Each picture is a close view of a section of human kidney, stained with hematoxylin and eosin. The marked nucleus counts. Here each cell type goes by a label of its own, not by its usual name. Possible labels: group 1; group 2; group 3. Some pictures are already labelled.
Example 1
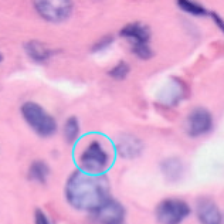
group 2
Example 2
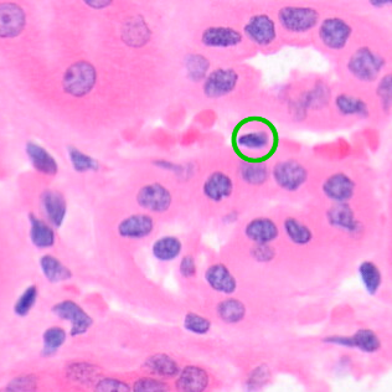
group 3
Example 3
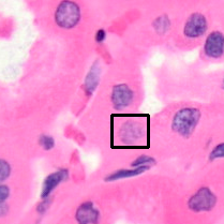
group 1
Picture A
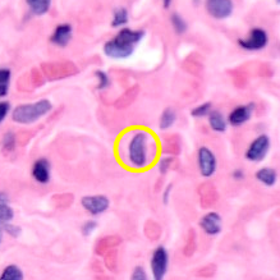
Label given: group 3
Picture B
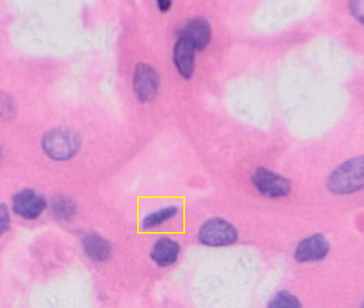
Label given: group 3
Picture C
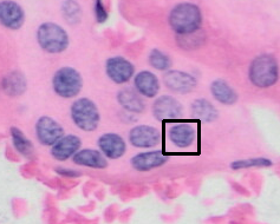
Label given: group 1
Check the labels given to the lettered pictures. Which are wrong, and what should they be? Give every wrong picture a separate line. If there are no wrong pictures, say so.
Wrong: C (group 1); correct: group 2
